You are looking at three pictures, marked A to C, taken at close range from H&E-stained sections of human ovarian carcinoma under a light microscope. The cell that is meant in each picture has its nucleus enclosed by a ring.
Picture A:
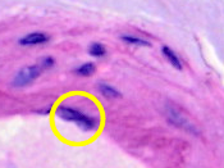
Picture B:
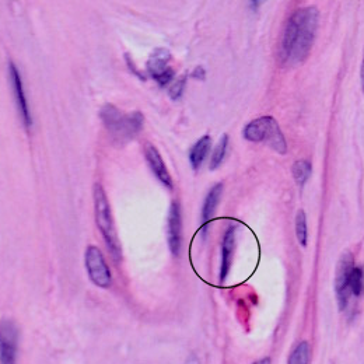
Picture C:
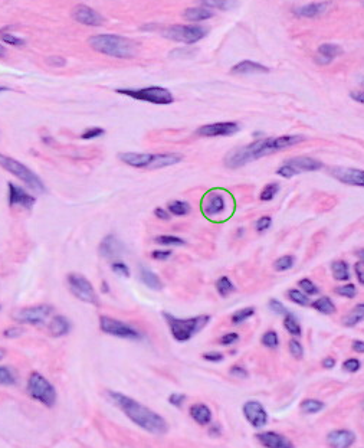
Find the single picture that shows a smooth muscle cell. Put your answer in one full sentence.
It is picture C that shows the smooth muscle cell.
